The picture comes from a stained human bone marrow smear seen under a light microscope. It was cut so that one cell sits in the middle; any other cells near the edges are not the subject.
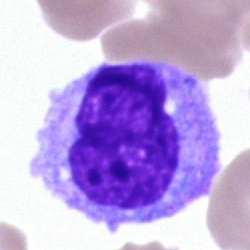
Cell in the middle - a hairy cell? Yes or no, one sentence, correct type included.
No, the cell sitting in the centre of the crop is a monocyte, not a hairy cell.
